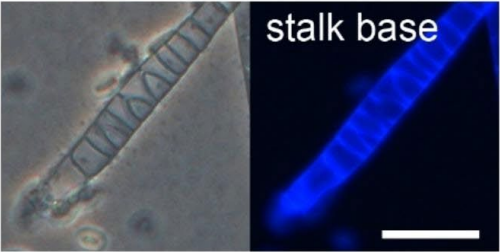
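In phase contrast, the cells are lined up in a single file inside a thin sheath, separated by curved cross walls so that the column looks like the rungs of a ladder. Each compartment is short and wide, filling the full width of the tube. In the fluorescence half, both the outer sheath and the cross walls shine blue, outlining the row of compartments.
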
